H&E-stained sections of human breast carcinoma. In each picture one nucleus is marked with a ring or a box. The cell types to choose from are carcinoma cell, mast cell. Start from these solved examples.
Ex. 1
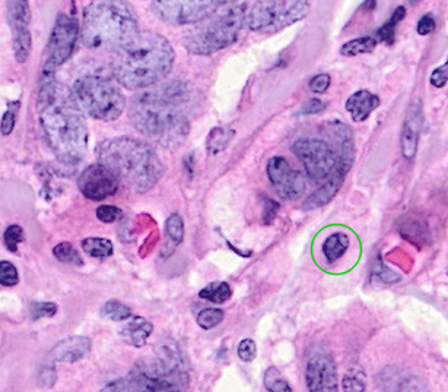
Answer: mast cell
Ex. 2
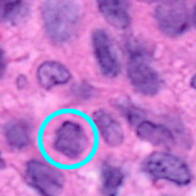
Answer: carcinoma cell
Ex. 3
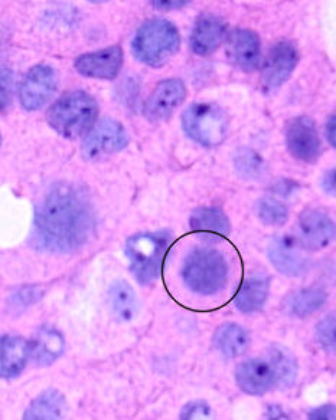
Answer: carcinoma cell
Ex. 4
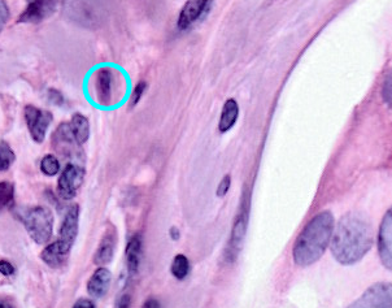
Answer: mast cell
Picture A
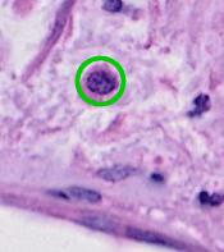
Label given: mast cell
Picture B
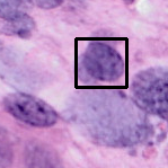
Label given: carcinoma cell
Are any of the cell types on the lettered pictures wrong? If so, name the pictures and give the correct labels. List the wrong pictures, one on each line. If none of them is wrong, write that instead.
All labels are correct.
